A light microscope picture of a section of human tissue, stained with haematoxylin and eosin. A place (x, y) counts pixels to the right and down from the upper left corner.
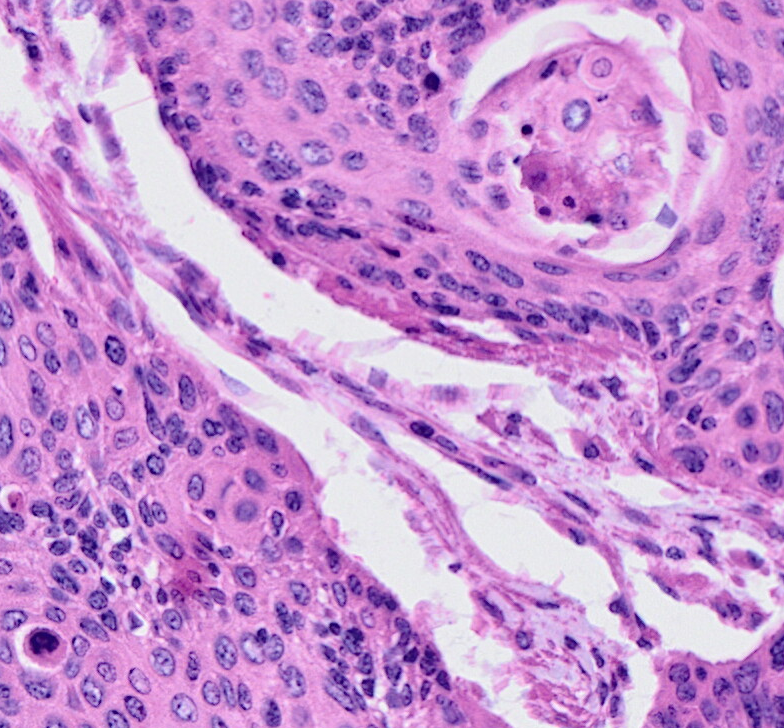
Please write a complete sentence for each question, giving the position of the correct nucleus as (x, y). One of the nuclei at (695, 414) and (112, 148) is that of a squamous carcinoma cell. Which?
Identify the nucleus at (695, 414) as the one belonging to a squamous carcinoma cell.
